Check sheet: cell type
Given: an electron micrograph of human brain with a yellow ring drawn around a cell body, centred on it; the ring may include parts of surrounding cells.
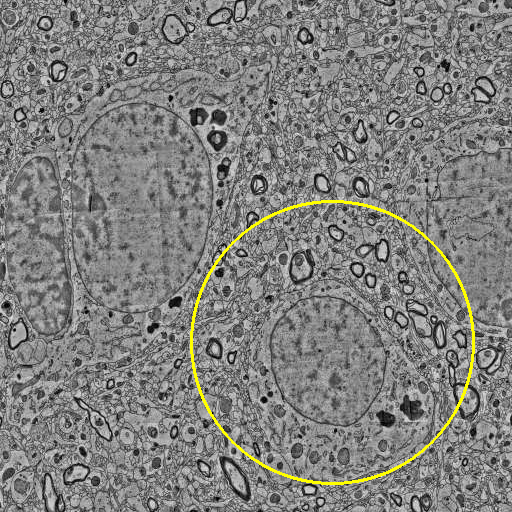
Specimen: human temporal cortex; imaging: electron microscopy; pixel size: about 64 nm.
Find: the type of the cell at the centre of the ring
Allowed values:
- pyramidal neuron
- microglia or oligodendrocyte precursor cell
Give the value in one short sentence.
Here the ringed cell is a pyramidal neuron.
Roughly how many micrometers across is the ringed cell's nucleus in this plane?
The nucleus comes to roughly 9 by 7 micrometres in this plane.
